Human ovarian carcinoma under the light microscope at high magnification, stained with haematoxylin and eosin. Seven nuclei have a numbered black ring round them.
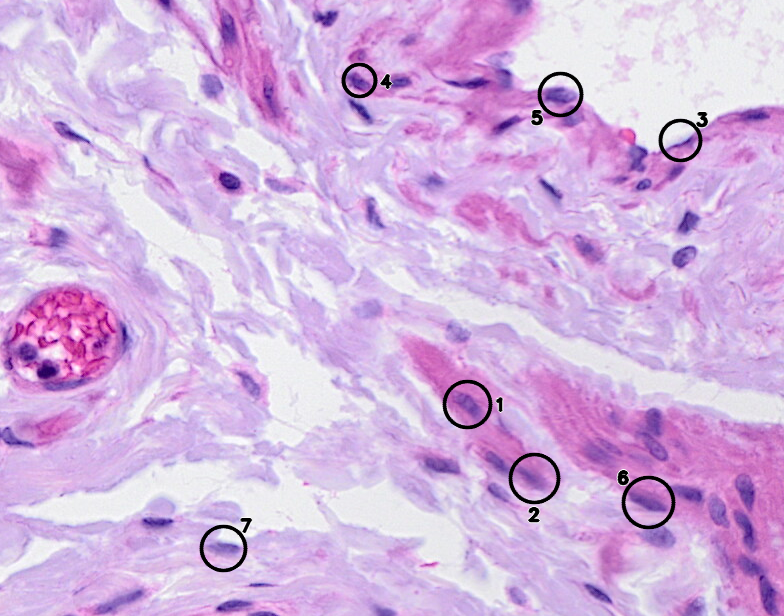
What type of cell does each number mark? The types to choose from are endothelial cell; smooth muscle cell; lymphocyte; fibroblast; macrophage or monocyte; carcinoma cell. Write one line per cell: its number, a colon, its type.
1: smooth muscle cell
2: smooth muscle cell
3: endothelial cell
4: smooth muscle cell
5: endothelial cell
6: smooth muscle cell
7: fibroblast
